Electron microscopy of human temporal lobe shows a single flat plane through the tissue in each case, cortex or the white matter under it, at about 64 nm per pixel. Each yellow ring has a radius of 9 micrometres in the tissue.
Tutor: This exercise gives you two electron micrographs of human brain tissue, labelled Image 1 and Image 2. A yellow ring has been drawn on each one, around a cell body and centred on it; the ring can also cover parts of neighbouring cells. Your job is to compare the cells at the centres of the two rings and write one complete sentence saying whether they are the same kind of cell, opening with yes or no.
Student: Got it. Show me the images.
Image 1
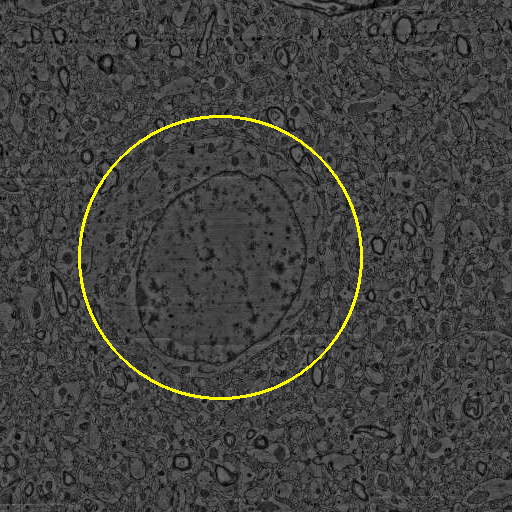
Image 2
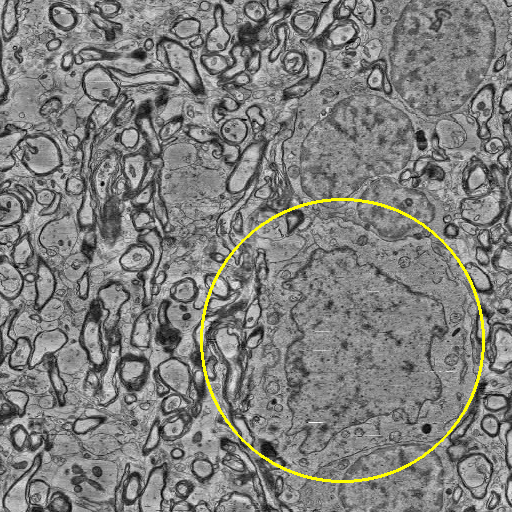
Yes, the two cells belong to the same kind.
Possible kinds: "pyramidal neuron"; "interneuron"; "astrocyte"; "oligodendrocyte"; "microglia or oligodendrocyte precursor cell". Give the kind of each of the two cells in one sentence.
The cell in the first picture is a pyramidal neuron, and so is the one in the second.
